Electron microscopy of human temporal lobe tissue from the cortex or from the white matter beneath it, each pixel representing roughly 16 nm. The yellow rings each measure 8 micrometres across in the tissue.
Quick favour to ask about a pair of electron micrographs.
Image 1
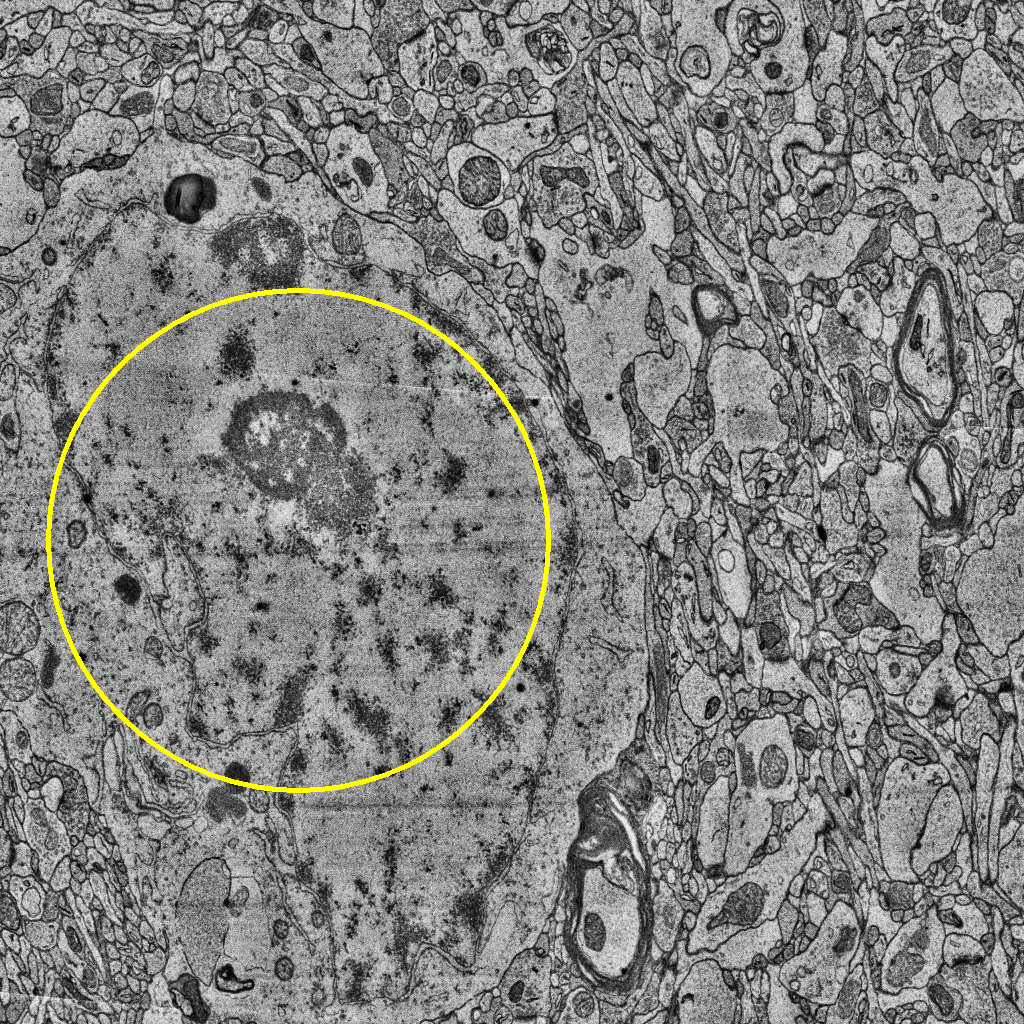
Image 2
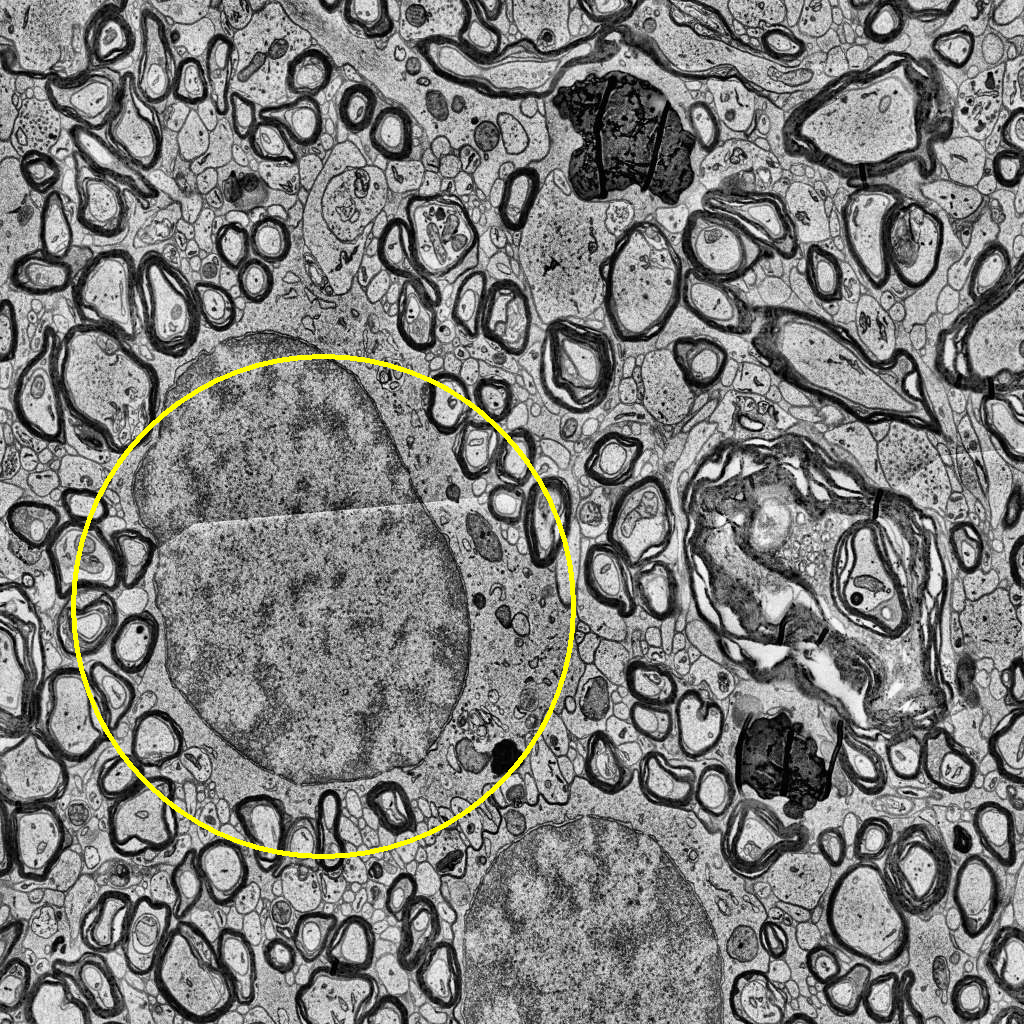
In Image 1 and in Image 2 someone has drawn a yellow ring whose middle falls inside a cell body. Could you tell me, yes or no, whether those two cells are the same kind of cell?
no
